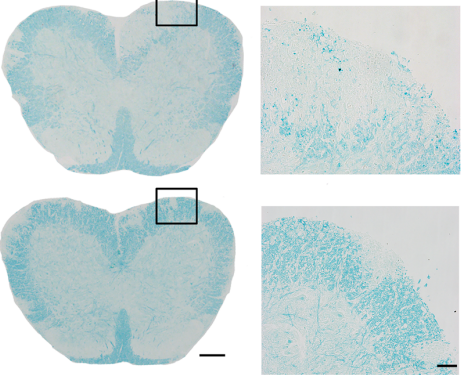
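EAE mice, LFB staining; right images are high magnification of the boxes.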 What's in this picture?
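Transverse spinal cord sections stained blue-green, with stain concentrated in the white matter and paler grey matter in the butterfly-shaped centre. In the enlarged views of the dorsal white matter, the stained tissue appears as fibre-like blue-green streaks.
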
